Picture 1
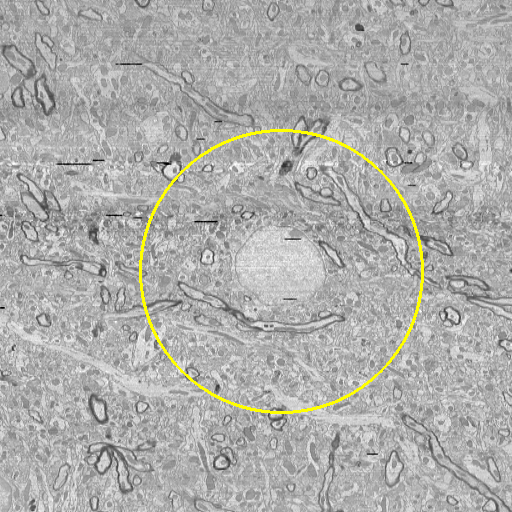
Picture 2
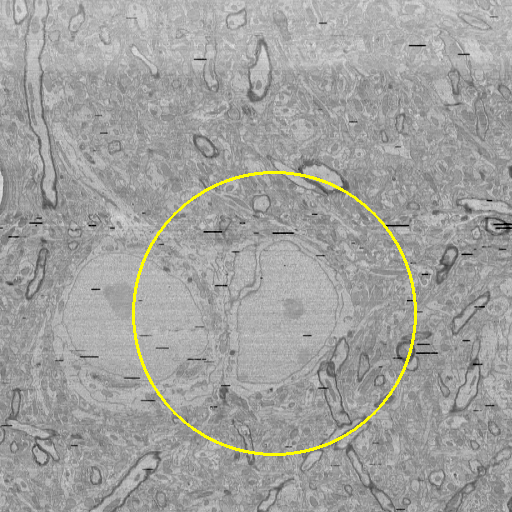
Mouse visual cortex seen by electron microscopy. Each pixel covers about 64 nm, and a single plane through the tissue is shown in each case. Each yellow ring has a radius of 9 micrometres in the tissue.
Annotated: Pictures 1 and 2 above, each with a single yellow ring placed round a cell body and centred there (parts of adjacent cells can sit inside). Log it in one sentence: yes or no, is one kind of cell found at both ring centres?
No, the ring centres of the two pictures hold cells of two kinds.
